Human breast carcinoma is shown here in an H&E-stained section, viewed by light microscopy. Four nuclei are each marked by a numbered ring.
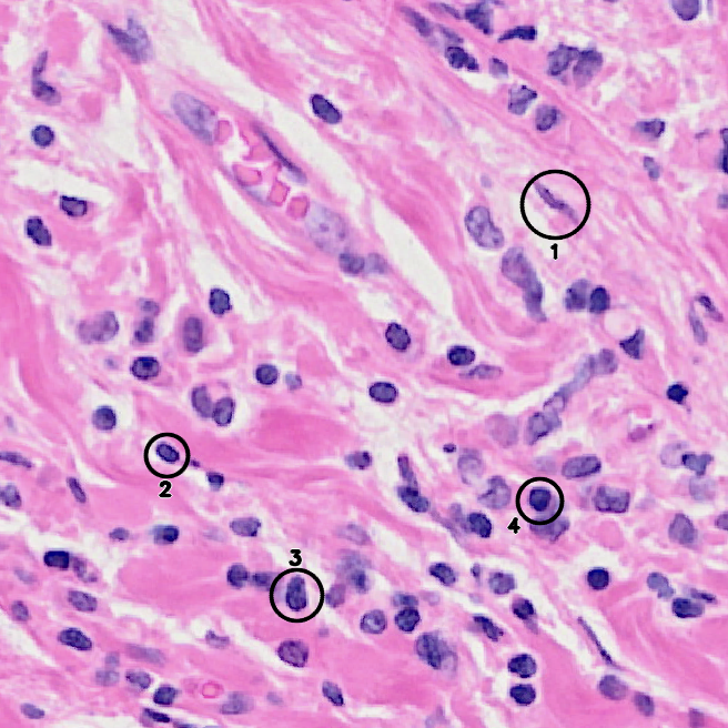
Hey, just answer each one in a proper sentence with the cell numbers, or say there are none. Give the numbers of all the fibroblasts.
The one cell that is a fibroblast is cell 1, and no other.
